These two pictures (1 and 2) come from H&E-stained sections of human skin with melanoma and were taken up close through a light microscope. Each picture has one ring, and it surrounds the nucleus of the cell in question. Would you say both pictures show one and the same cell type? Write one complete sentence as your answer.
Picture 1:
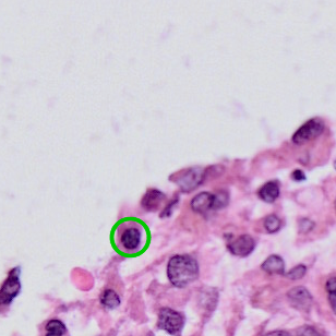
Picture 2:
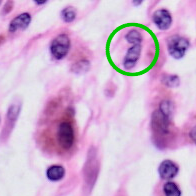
No, picture 1 shows a plasma cell and picture 2 shows a “macrophage or monocyte”.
